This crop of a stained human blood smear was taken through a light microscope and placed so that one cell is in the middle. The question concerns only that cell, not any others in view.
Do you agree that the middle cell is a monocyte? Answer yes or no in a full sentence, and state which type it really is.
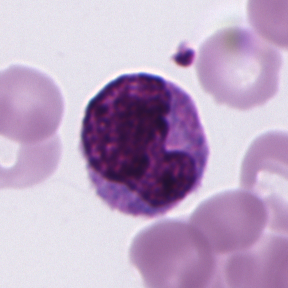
Yes, the cell occupying the center is a monocyte.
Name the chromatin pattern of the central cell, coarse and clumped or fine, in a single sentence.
This nucleus has coarsely clumped chromatin.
